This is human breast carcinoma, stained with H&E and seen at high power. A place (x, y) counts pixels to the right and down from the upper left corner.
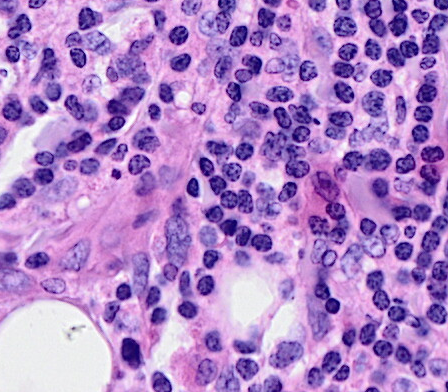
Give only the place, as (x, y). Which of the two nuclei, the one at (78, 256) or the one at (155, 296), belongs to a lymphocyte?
(155, 296)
